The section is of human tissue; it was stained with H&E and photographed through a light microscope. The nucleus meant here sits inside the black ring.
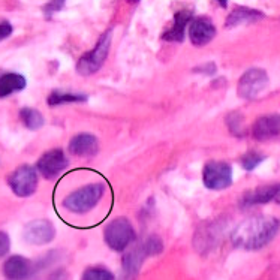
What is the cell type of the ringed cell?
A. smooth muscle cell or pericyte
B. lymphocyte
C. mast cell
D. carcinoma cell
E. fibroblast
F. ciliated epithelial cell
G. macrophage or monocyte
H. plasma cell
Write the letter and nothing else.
B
